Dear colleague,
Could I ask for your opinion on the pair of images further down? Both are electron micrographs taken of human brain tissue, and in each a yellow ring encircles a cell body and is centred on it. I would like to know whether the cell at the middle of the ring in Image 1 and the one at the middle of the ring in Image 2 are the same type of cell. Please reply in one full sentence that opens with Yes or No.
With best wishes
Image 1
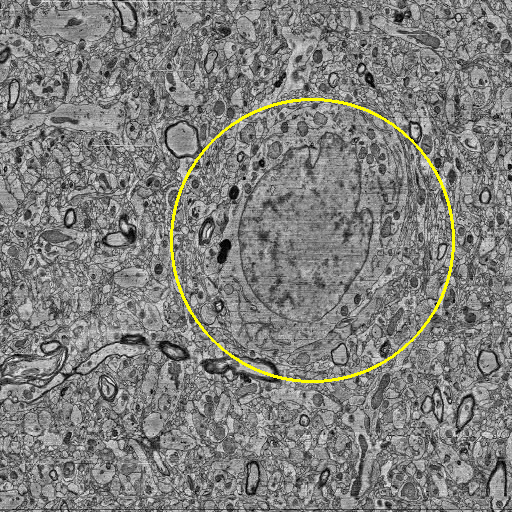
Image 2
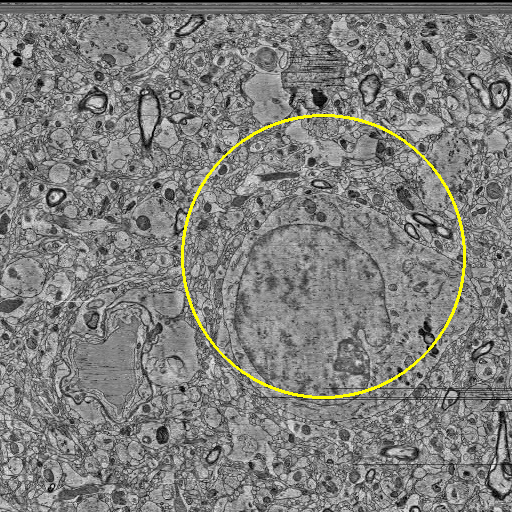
Yes, the cells at the ring centres in Image 1 and Image 2 are of one type.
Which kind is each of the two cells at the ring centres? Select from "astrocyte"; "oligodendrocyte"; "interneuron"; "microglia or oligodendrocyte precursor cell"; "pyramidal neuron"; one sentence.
The ring centre holds an interneuron in each of the two pictures.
